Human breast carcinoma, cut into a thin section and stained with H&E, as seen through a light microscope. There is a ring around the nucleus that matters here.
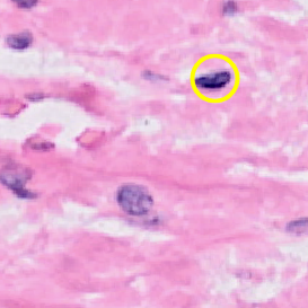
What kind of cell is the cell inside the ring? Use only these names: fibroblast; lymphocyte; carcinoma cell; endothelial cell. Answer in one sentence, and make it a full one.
The correct response here is that the cell inside the ring is a lymphocyte.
